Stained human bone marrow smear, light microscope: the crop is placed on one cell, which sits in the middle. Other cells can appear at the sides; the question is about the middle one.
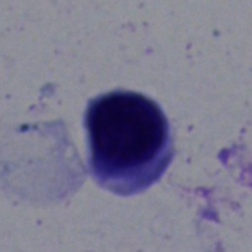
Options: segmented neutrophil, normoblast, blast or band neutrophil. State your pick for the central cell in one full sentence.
Framed in the middle of the crop is a normoblast.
